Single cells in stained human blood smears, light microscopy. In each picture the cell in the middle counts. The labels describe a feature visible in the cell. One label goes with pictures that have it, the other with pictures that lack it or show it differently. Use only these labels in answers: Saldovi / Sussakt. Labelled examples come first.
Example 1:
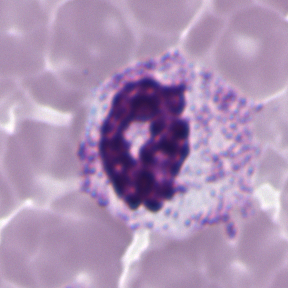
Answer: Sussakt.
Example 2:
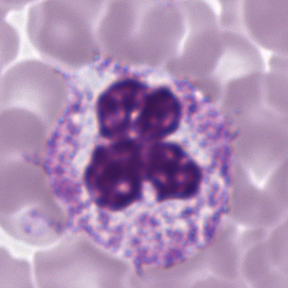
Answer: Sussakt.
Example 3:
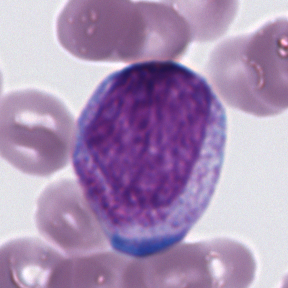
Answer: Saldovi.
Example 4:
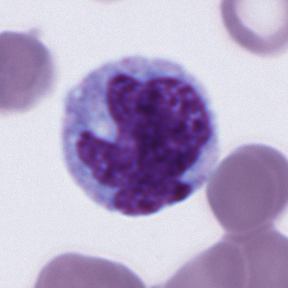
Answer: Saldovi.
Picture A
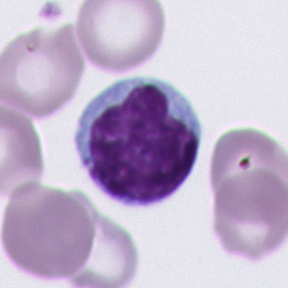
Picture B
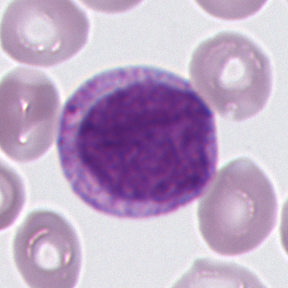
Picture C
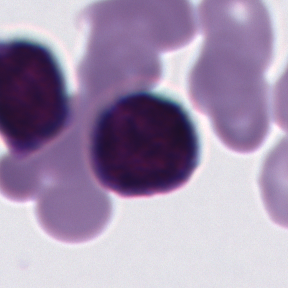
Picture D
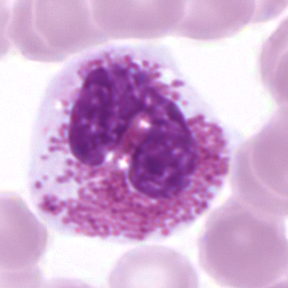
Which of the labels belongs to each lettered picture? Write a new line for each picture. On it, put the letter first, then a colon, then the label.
A: Saldovi.
B: Saldovi.
C: Saldovi.
D: Saldovi.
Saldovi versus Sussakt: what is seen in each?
In Saldovi: smooth outline. In Sussakt: ragged outline or projections.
